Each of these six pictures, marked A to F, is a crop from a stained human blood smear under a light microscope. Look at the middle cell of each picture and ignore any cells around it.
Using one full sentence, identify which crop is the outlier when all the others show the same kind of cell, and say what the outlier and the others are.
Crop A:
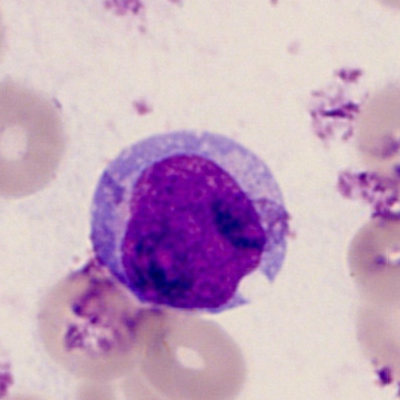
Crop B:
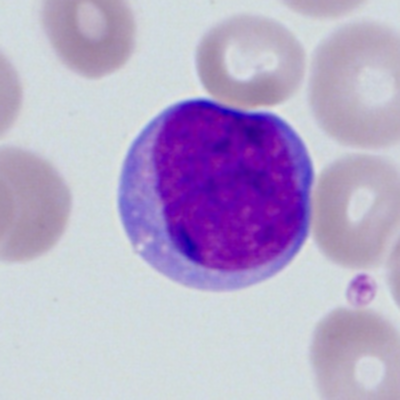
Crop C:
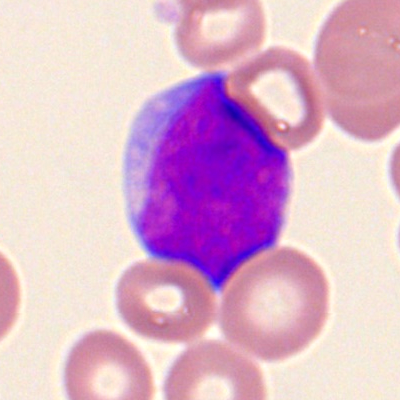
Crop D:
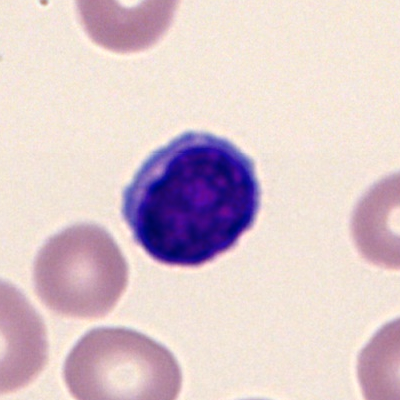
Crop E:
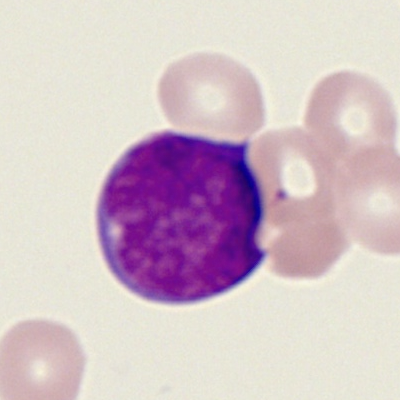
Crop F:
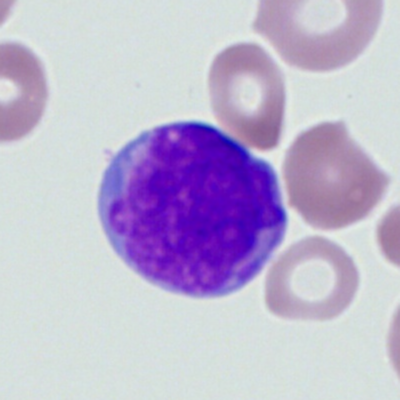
The cells centred in the other crops are all myeloblasts, but crop D is a lymphocyte.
